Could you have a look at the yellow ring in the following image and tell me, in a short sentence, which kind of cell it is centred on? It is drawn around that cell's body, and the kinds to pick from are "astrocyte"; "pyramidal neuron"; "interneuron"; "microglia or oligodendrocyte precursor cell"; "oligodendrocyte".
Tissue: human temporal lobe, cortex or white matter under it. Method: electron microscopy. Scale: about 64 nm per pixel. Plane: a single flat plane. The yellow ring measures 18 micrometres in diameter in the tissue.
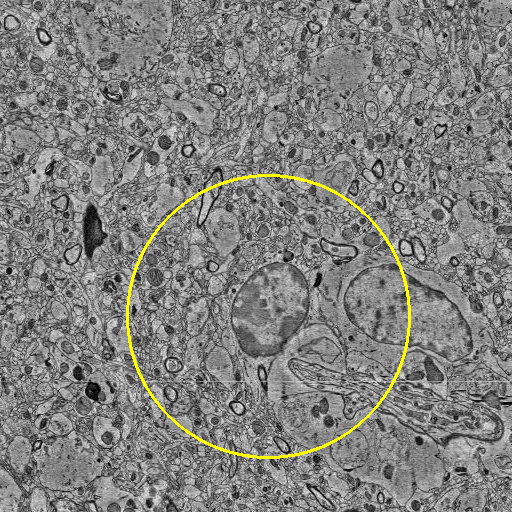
The ring is centred on the body of a microglial cell or oligodendrocyte precursor cell.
